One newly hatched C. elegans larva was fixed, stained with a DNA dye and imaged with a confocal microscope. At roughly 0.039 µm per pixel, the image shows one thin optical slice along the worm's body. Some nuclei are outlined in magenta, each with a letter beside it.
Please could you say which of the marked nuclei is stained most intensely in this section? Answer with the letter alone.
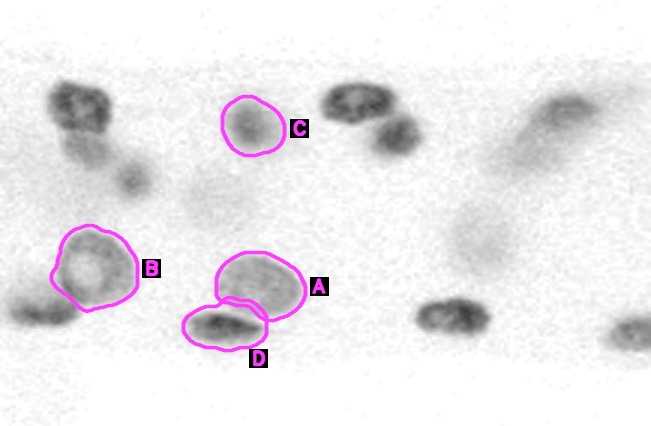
D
